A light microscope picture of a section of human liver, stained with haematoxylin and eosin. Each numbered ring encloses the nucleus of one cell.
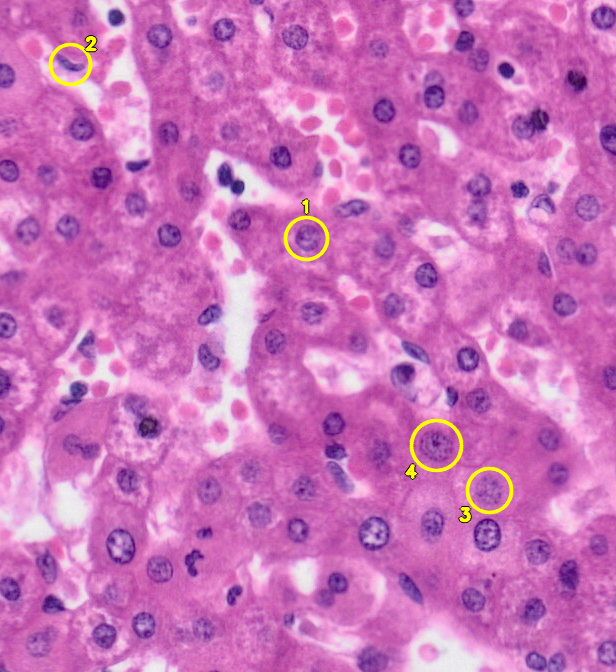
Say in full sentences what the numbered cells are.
Cells 1, 3 and 4 are hepatocytes. Cell 2 is an endothelial cell.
